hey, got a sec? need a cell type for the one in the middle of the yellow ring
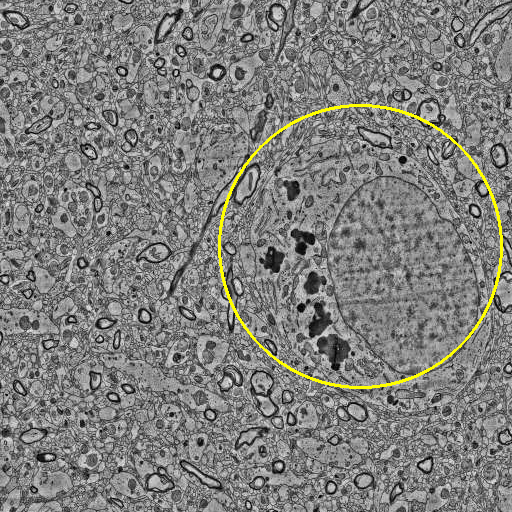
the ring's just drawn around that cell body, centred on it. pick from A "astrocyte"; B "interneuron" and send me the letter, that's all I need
B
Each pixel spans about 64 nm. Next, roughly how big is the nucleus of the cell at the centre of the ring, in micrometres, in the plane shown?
In this plane the nucleus spans approximately 13 by 9 micrometers.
